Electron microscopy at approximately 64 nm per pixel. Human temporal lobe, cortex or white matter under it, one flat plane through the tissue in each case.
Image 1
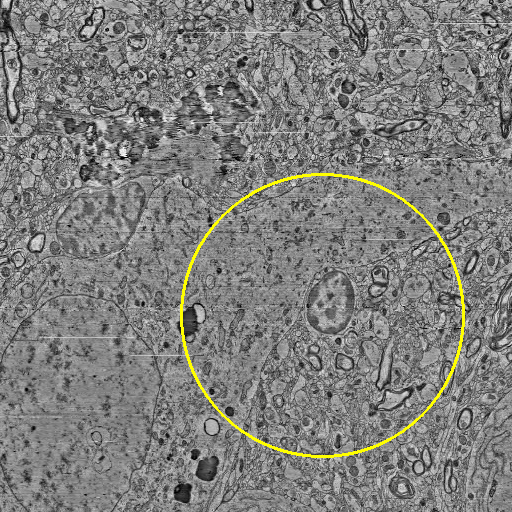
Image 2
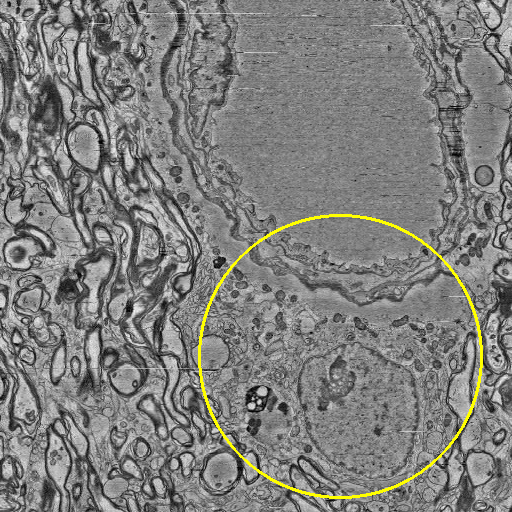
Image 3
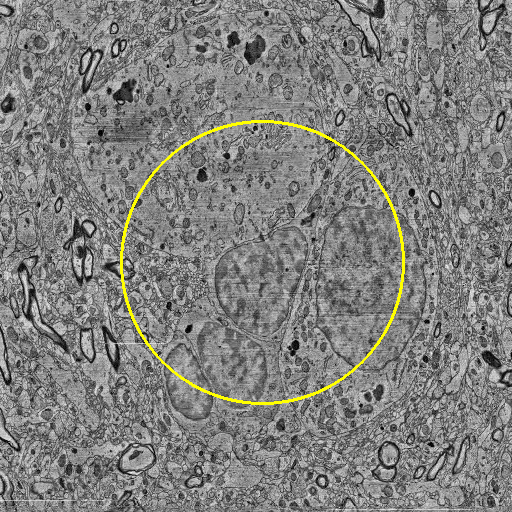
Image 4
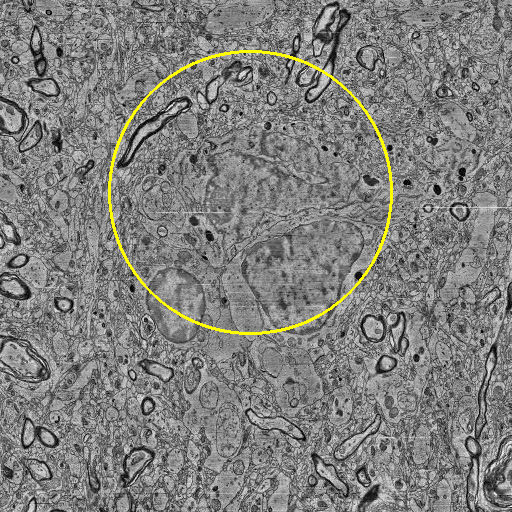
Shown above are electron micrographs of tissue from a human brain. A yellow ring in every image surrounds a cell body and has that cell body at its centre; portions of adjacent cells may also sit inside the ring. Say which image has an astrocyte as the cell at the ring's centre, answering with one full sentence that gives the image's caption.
The image whose ring is centred on the requested cell is Image 2.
